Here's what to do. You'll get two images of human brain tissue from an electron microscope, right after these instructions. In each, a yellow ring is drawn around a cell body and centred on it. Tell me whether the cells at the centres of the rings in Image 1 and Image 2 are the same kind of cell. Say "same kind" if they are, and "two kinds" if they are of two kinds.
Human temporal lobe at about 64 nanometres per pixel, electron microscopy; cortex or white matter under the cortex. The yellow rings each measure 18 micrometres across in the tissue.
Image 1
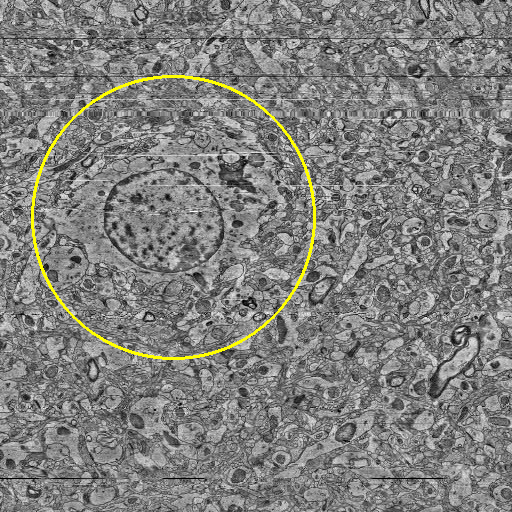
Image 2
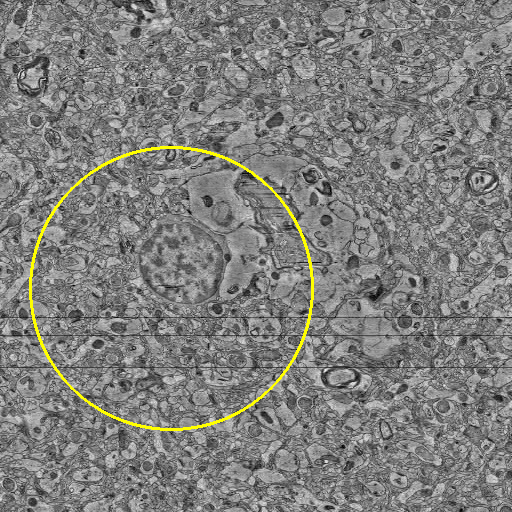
two kinds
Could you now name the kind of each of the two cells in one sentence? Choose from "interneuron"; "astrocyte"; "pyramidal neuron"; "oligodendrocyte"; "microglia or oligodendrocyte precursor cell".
The first ring encloses an astrocyte; the second ring encloses an oligodendrocyte.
